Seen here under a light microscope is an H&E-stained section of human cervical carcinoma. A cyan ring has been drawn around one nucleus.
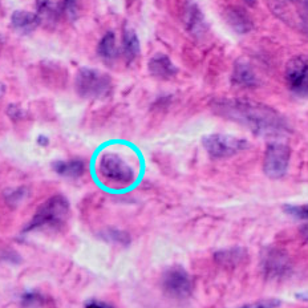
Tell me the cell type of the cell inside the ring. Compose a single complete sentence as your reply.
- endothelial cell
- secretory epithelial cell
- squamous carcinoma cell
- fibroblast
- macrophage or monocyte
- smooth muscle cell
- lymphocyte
Within this tissue, the cell inside the ring is a macrophage or monocyte.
